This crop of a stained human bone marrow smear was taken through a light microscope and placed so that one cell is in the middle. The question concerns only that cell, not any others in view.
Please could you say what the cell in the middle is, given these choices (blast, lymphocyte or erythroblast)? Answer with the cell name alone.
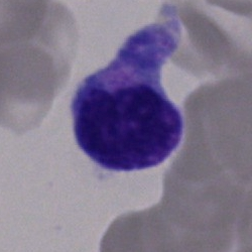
lymphocyte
